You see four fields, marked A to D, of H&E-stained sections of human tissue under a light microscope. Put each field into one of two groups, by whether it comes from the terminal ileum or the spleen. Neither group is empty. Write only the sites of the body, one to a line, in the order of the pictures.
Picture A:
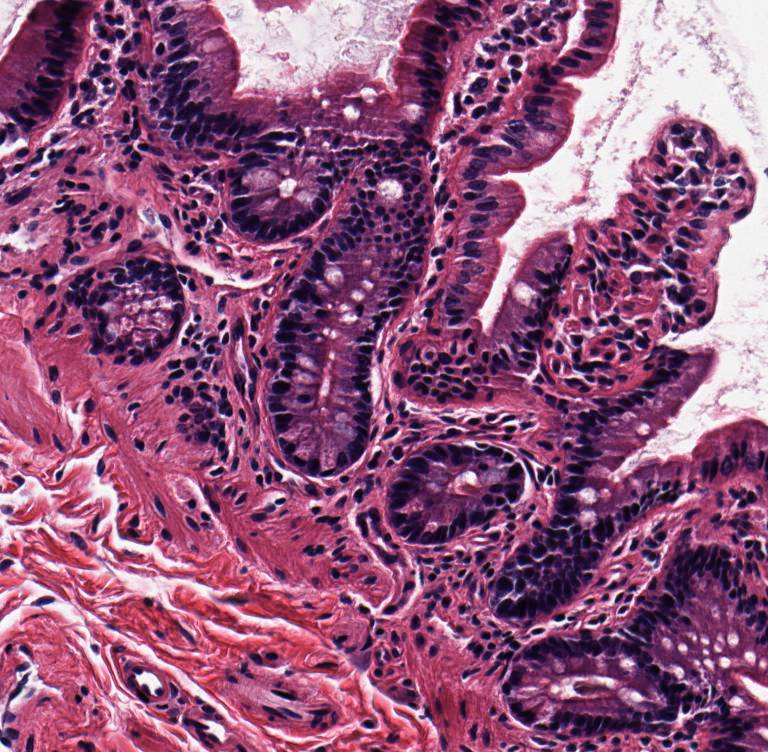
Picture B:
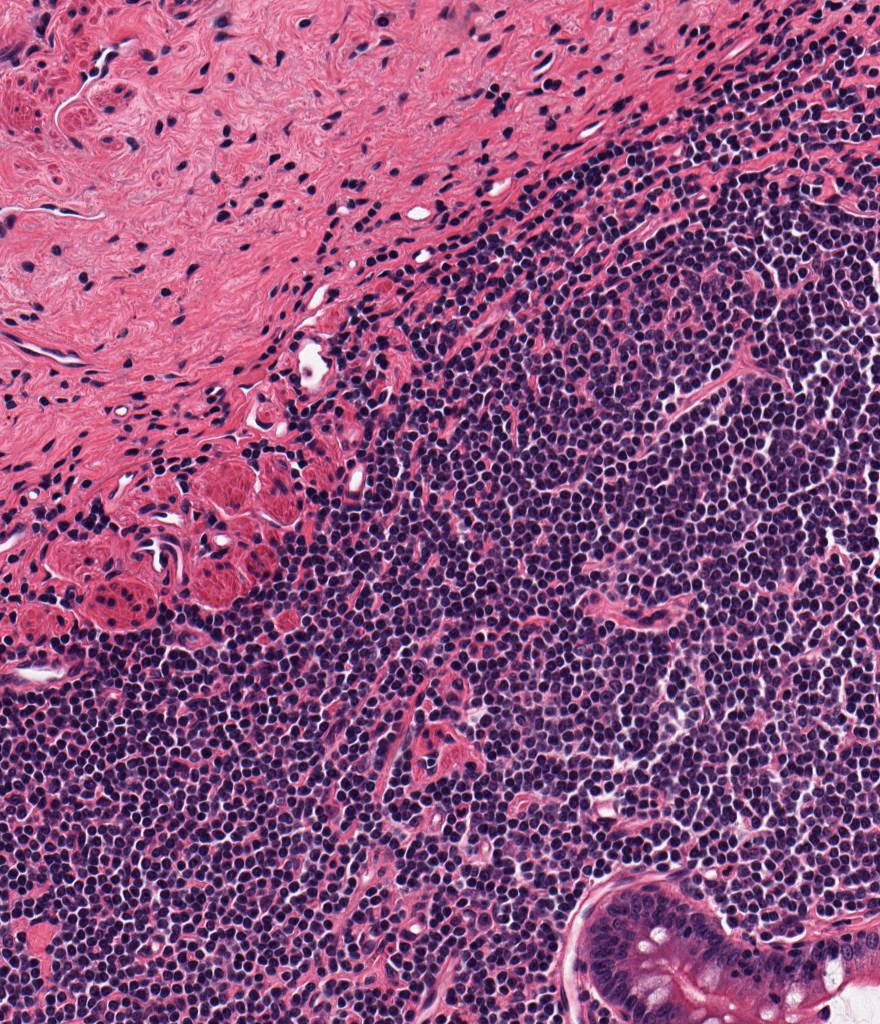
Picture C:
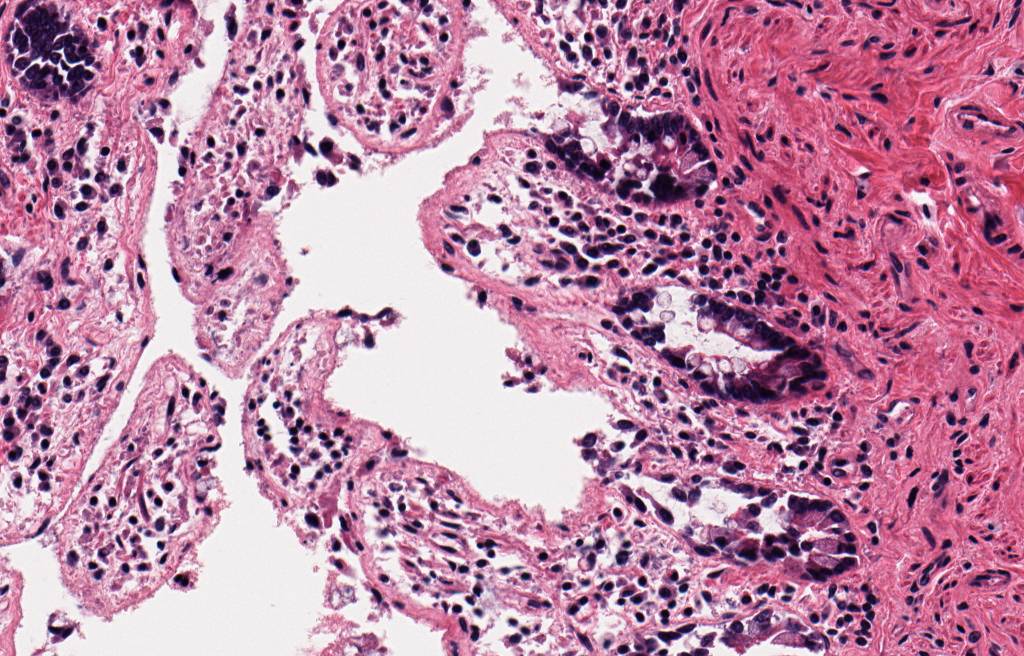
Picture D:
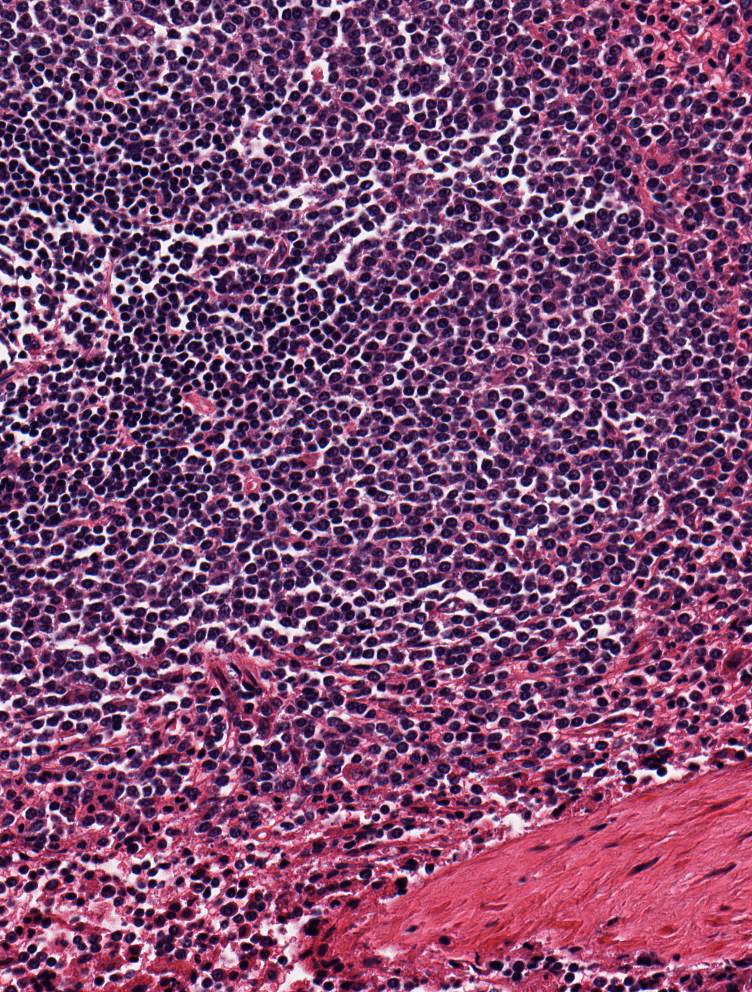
terminal ileum
terminal ileum
terminal ileum
spleen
